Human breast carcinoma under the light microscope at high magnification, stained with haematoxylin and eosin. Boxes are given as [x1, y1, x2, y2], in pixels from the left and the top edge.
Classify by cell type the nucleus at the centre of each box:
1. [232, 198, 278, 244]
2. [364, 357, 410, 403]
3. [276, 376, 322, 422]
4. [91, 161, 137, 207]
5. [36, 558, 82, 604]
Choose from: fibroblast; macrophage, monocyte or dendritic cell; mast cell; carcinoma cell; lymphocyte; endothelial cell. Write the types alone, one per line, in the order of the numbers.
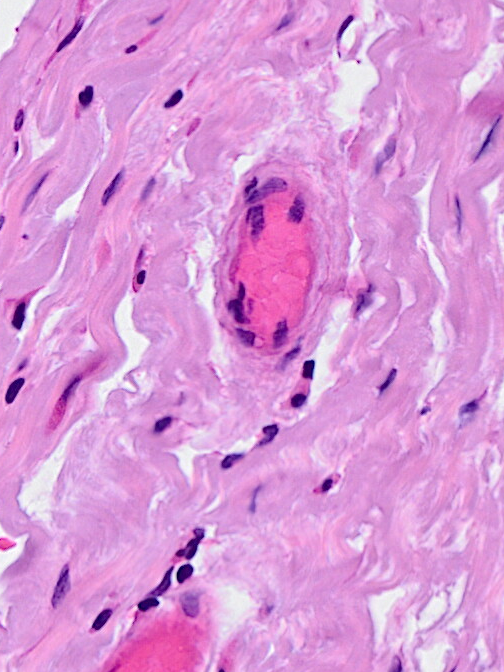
endothelial cell
fibroblast
mast cell
fibroblast
fibroblast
